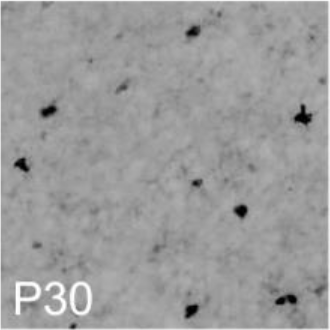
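The labeled cells are irregular in outline, some roundish and some slightly elongated or angular, with little trace of extended processes. They are spaced apart from one another without forming clusters or layers.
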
